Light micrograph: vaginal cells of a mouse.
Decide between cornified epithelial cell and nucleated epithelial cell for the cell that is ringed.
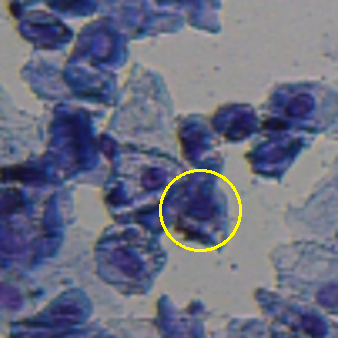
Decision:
I take the ringed cell for a nucleated epithelial cell.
